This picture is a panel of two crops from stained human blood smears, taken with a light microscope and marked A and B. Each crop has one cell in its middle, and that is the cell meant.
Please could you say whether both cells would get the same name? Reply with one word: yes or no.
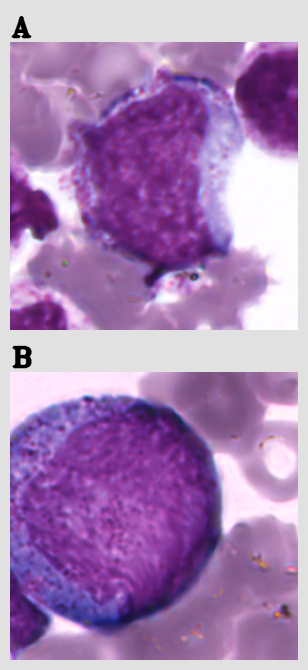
yes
